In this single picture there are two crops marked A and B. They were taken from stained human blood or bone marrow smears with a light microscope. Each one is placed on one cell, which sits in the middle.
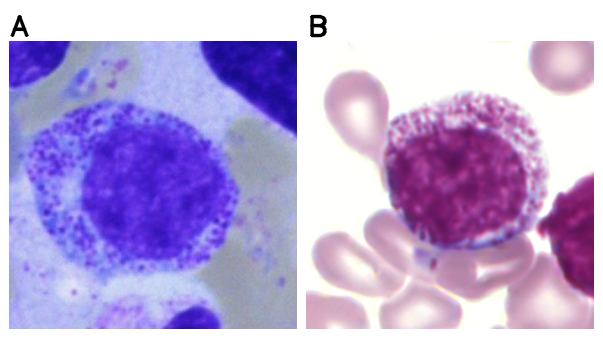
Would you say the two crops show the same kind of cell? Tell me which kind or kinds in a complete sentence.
Yes, both crops show myelocytes, each crop centred on one of them.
